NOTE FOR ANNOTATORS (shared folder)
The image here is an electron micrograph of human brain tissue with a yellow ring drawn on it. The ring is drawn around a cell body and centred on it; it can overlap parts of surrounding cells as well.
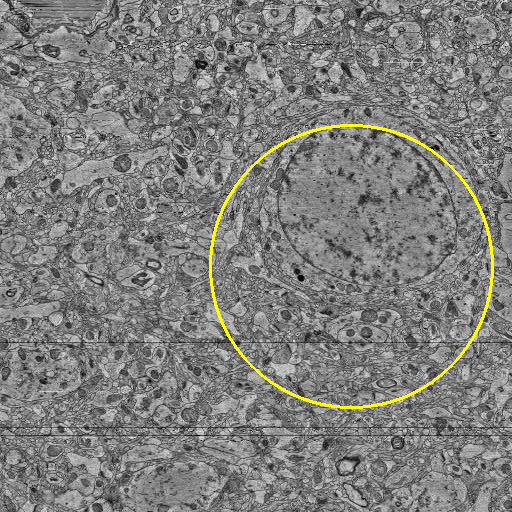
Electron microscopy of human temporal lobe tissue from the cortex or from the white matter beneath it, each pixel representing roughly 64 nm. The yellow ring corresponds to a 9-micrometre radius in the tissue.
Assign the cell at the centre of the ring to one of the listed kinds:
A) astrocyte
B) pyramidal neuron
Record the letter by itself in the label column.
B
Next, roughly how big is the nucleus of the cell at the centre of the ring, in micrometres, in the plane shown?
Roughly 12 by 10 micrometres in this plane, for the nucleus of the ringed cell.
